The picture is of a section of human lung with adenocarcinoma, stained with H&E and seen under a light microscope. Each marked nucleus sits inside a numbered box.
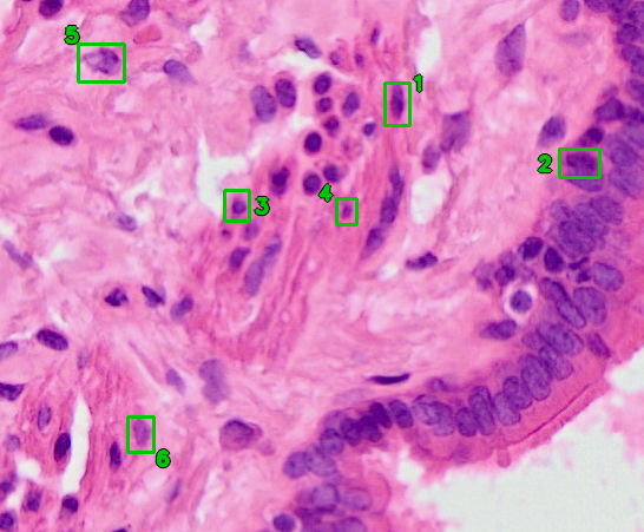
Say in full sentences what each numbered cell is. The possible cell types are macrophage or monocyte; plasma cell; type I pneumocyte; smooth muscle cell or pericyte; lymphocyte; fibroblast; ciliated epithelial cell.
Cell 1 is a smooth muscle cell or pericyte, cell 2 is a ciliated epithelial cell, cell 3 is a smooth muscle cell or pericyte, cell 4 is a smooth muscle cell or pericyte, cell 5 is a fibroblast and cell 6 is a smooth muscle cell or pericyte.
